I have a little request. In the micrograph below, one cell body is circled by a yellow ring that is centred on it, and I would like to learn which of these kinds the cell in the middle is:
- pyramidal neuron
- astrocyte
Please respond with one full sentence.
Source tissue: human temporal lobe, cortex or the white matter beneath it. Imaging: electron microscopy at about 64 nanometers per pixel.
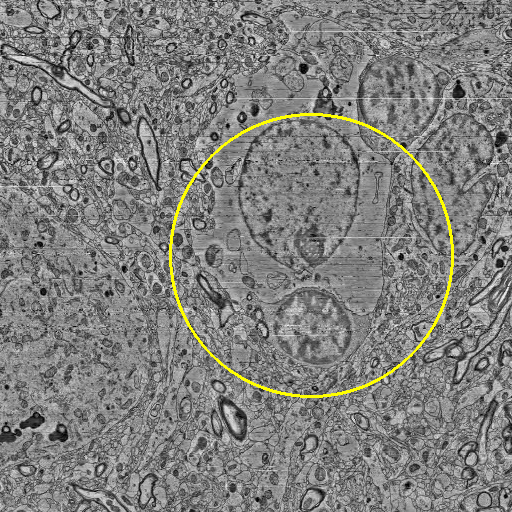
The cell sitting in the middle of the yellow ring in the micrograph is an astrocyte.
